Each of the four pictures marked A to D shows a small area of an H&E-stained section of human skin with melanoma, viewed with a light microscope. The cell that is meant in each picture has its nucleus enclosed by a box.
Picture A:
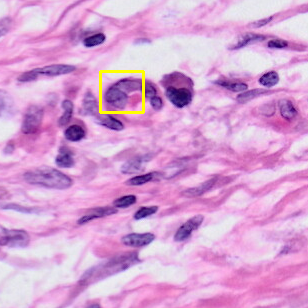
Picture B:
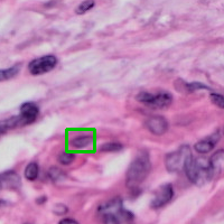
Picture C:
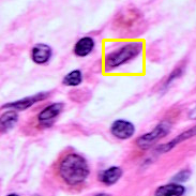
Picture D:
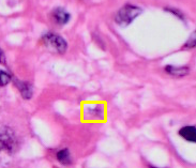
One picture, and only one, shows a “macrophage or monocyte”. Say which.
C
